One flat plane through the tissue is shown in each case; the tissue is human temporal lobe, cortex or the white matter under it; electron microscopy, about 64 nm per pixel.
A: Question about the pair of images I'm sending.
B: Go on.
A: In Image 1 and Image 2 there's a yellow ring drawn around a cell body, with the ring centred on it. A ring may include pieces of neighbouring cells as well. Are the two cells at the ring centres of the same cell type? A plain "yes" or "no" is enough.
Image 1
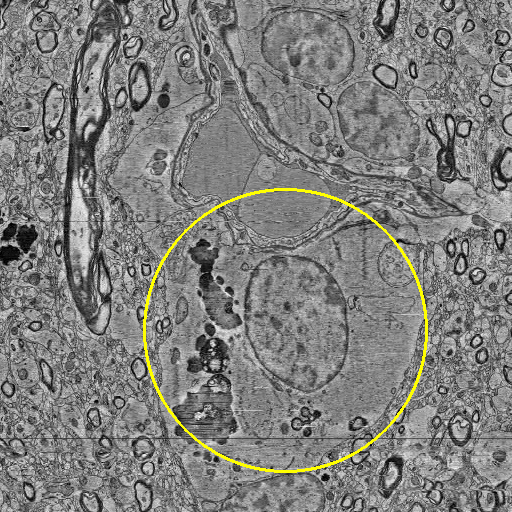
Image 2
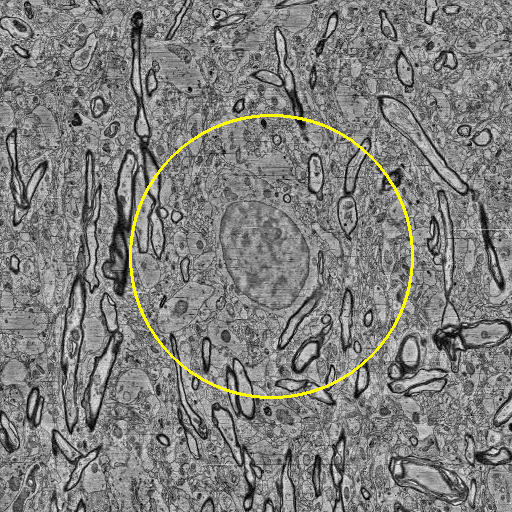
no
